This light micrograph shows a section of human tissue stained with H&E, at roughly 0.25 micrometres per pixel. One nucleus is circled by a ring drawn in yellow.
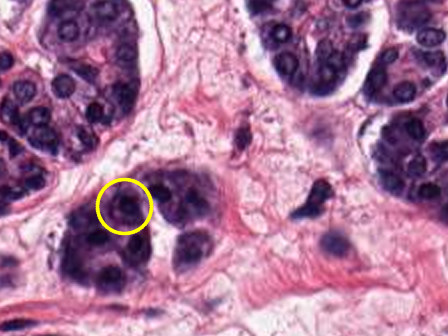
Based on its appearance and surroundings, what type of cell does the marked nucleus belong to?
pancreatic acinar cell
